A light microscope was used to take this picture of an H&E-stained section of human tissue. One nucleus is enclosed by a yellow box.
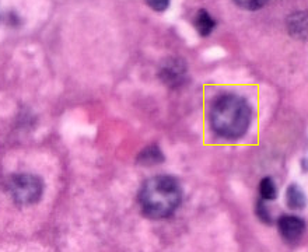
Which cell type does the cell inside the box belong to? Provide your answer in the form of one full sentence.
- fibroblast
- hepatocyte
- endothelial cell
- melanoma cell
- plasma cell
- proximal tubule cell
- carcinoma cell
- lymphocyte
In the stained section, the cell inside the box is a hepatocyte.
